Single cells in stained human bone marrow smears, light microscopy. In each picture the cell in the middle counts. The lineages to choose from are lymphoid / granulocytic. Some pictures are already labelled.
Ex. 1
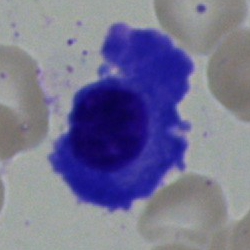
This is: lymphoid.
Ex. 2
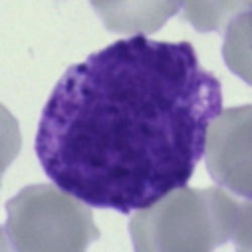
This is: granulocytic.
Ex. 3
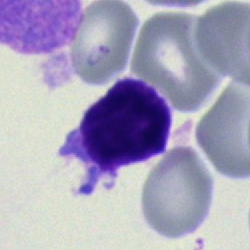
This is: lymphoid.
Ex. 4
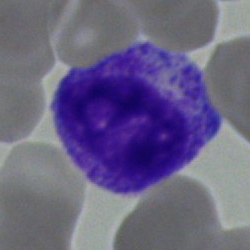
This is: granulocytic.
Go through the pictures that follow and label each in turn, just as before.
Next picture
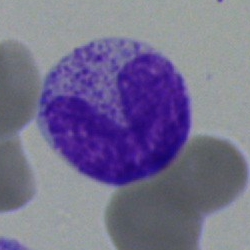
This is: granulocytic.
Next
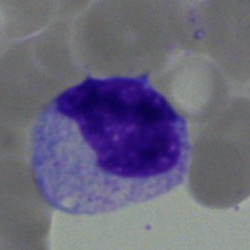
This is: granulocytic.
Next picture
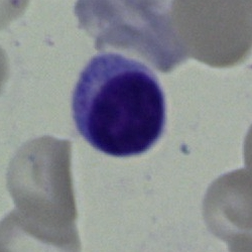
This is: lymphoid.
